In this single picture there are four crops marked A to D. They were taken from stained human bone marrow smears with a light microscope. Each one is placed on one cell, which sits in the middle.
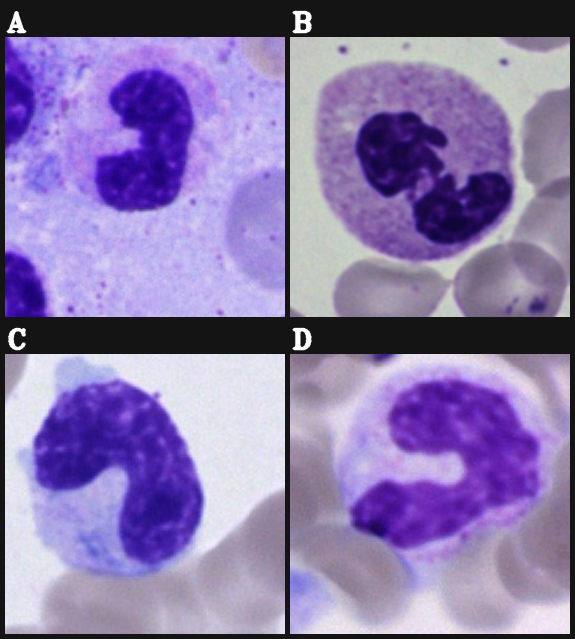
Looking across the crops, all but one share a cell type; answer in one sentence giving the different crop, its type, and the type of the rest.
Crop B is the different one, a segmented neutrophil, while the rest are band neutrophils.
